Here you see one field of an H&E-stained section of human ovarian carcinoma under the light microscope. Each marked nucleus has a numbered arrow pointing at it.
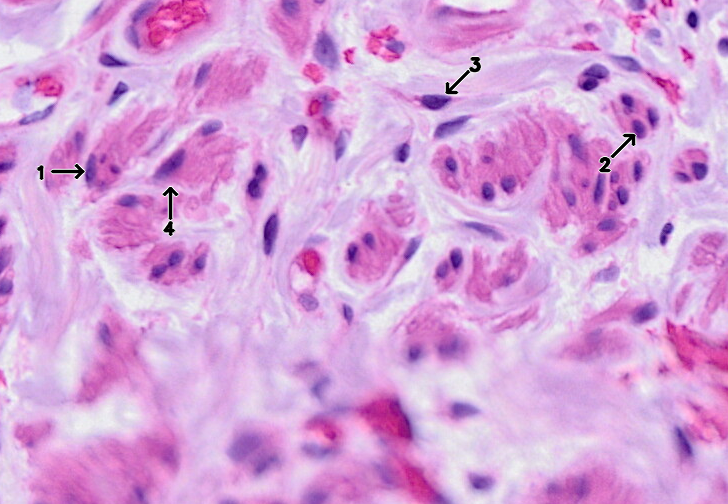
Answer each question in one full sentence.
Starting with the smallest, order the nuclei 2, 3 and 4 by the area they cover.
By area, going up from the smallest, they rank 2, 3, 4.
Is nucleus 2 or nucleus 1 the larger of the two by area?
The larger nucleus is 1, at roughly 2.5 times the area of 2.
